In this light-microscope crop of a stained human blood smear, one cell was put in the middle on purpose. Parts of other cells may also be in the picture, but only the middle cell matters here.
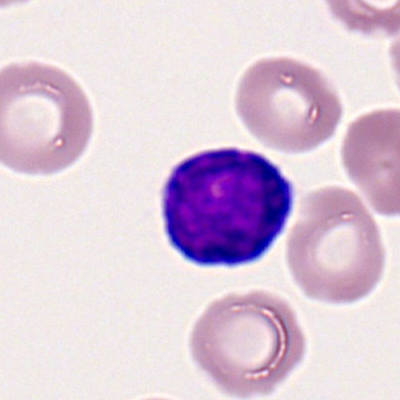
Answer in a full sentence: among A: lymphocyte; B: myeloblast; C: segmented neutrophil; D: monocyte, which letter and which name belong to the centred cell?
Seen at the centre of the crop is a lymphocyte, so option A is correct.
